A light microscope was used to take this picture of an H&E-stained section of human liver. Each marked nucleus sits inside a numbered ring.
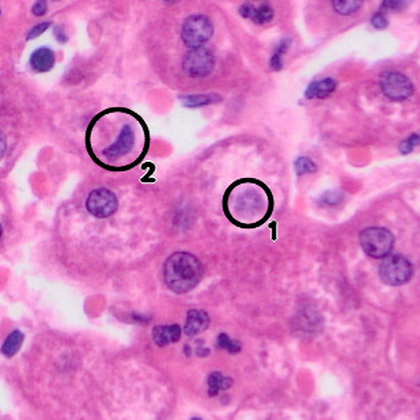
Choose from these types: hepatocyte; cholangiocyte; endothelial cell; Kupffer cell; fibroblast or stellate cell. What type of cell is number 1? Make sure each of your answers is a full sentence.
The cell bearing label 1 corresponds to a hepatocyte.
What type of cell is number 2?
The label 2 in this section denotes a fibroblast or stellate cell.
